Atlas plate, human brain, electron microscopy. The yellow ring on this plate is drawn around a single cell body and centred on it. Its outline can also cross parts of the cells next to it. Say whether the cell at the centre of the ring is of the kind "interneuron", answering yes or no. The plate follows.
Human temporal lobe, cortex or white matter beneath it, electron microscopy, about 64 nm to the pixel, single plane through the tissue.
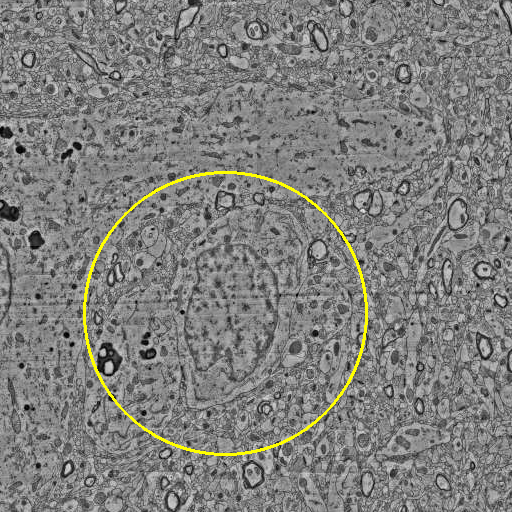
Yes, the cell is of that kind.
